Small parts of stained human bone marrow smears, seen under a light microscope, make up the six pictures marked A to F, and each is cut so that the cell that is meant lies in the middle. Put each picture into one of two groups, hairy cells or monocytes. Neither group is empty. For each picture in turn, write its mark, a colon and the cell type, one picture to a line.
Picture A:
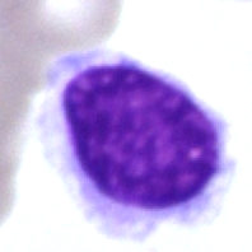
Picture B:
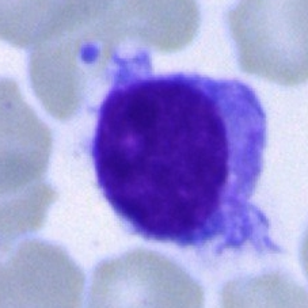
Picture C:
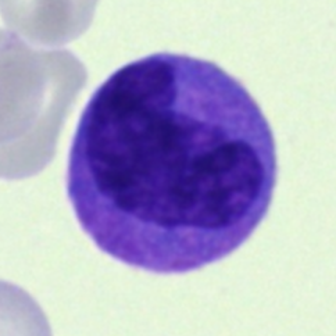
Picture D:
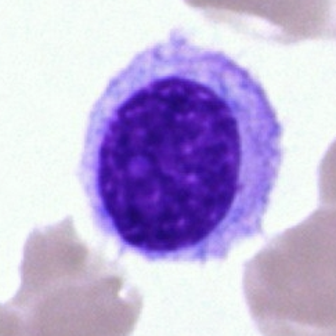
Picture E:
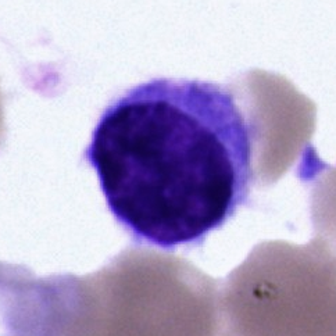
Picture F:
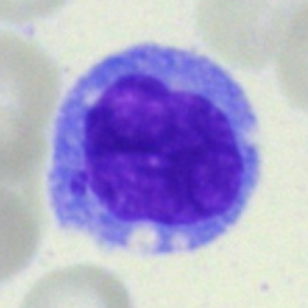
A: hairy cell
B: hairy cell
C: monocyte
D: hairy cell
E: hairy cell
F: monocyte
